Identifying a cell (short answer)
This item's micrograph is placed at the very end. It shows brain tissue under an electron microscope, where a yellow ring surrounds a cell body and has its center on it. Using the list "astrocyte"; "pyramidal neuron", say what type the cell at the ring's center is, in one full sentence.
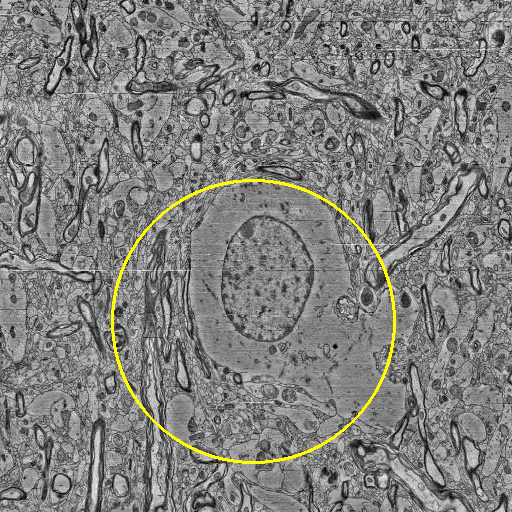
This picture shows an astrocyte at the center of the yellow ring drawn on it.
